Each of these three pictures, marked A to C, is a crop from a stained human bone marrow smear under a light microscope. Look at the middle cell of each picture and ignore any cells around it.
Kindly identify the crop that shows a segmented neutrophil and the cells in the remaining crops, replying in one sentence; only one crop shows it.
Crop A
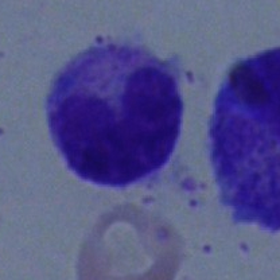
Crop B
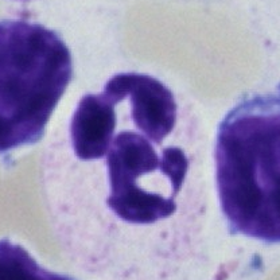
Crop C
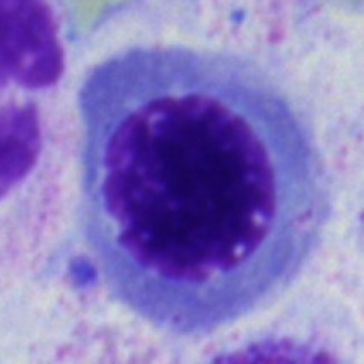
Crop B is to be called a segmented neutrophil, while crop A is a band neutrophil and crop C is an erythroblast.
